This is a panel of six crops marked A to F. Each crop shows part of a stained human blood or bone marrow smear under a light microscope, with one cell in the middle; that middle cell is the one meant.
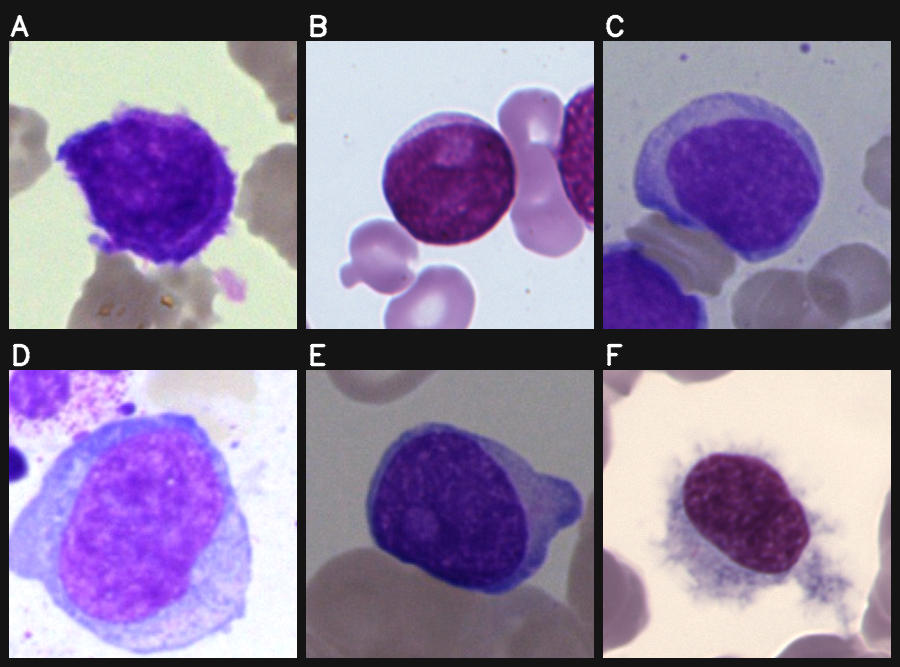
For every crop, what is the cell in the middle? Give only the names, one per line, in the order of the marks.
blast
blast
blast
blast
blast
hairy cell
